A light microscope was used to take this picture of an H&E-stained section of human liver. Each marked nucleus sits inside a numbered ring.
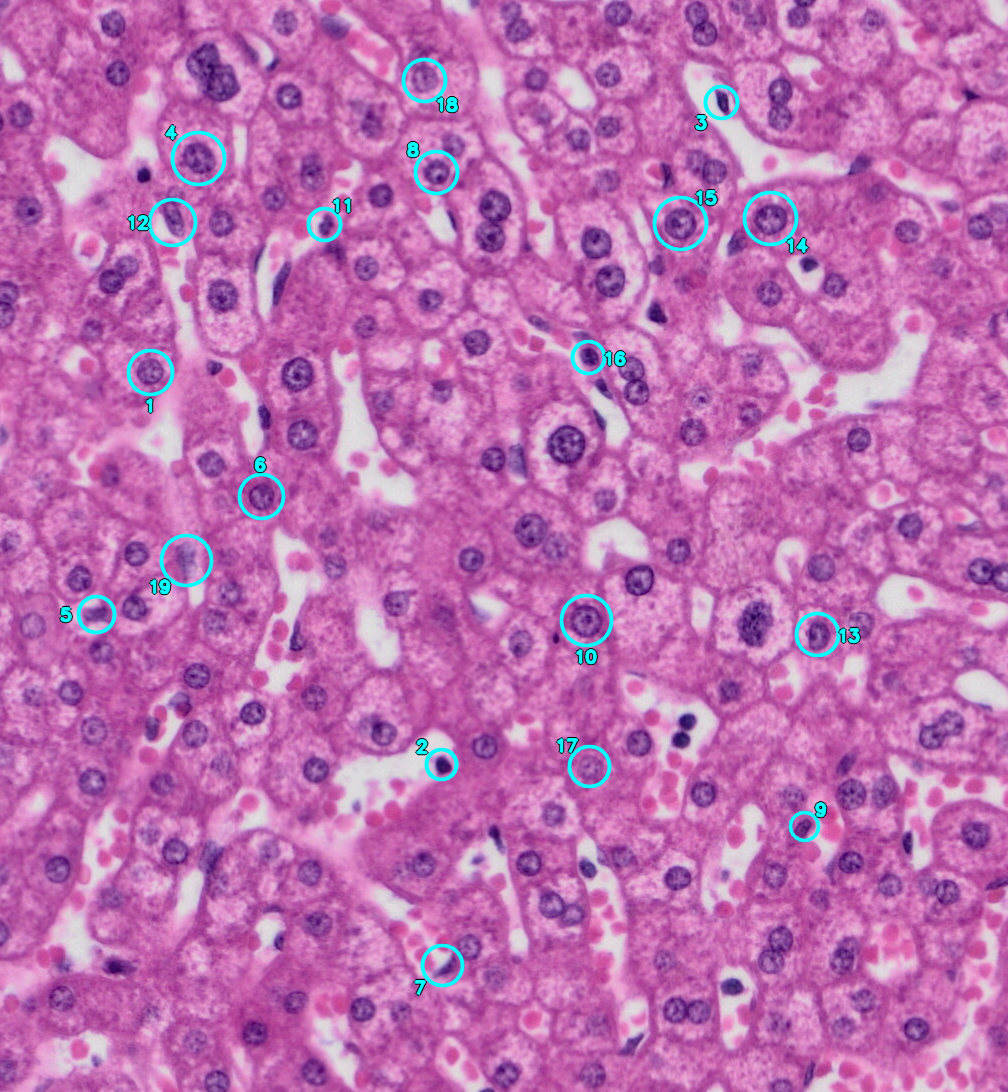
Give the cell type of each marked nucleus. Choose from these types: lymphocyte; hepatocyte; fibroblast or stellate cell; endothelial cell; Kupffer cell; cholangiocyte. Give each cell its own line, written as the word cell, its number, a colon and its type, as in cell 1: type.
cell 1: hepatocyte
cell 2: lymphocyte
cell 3: lymphocyte
cell 4: hepatocyte
cell 5: Kupffer cell
cell 6: hepatocyte
cell 7: endothelial cell
cell 8: hepatocyte
cell 9: Kupffer cell
cell 10: hepatocyte
cell 11: lymphocyte
cell 12: Kupffer cell
cell 13: hepatocyte
cell 14: hepatocyte
cell 15: hepatocyte
cell 16: lymphocyte
cell 17: hepatocyte
cell 18: hepatocyte
cell 19: endothelial cell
